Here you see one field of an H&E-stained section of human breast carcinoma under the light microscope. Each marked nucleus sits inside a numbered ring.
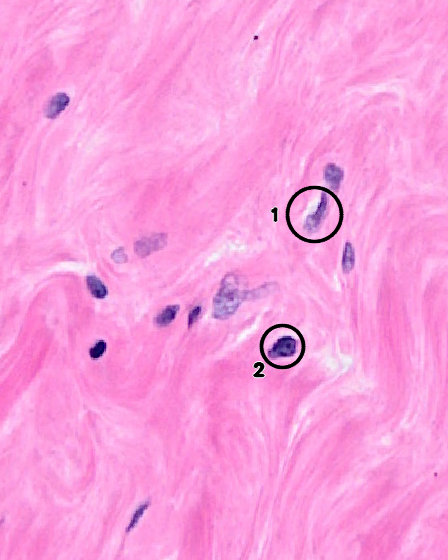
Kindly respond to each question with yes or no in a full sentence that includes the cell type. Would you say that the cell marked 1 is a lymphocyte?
No, it is a fibroblast, not a lymphocyte, that number 1 marks.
